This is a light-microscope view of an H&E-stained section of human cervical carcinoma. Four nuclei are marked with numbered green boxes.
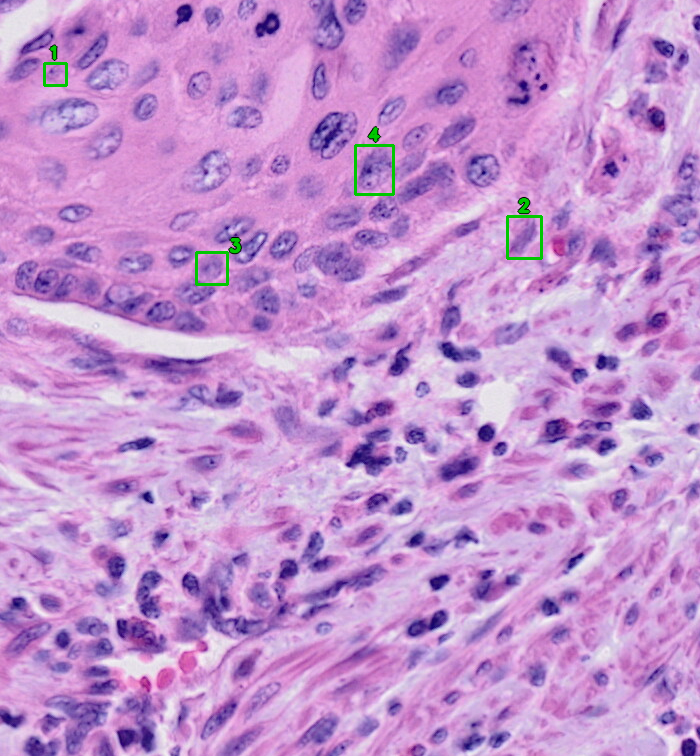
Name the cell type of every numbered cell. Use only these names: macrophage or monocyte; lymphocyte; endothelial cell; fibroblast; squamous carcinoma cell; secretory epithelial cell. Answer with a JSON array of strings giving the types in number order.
["squamous carcinoma cell", "fibroblast", "squamous carcinoma cell", "squamous carcinoma cell"]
